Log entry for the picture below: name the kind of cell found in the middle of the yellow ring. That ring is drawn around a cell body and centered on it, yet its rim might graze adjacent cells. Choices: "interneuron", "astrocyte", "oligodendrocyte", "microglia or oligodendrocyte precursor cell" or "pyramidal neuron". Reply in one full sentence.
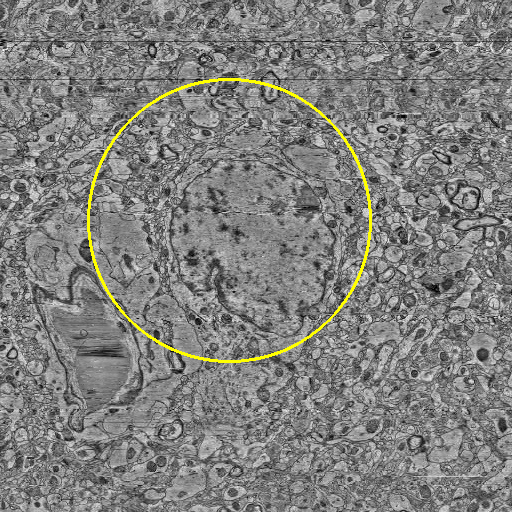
The cell in the middle of the yellow ring in this picture is an interneuron.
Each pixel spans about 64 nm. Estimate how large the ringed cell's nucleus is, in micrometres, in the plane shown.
About 12 by 10 micrometers, in this plane.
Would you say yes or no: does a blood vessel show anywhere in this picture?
Yes, one shows.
